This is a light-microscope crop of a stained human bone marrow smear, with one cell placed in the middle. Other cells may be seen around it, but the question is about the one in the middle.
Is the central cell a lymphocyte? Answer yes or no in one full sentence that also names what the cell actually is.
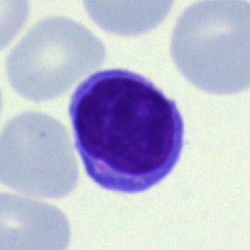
Yes, the cell in the middle is recognised as a lymphocyte.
